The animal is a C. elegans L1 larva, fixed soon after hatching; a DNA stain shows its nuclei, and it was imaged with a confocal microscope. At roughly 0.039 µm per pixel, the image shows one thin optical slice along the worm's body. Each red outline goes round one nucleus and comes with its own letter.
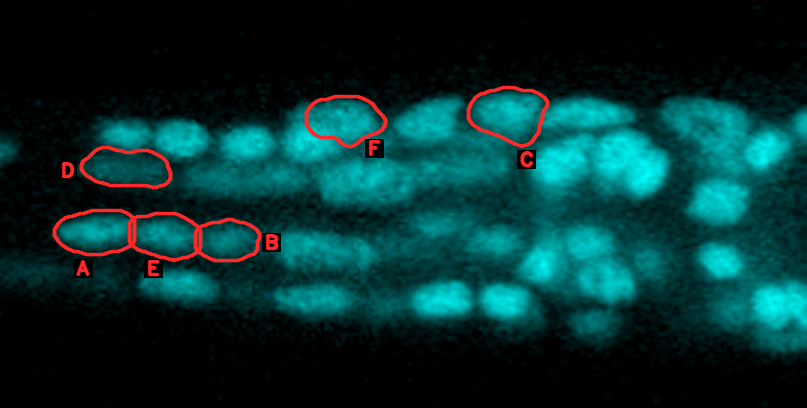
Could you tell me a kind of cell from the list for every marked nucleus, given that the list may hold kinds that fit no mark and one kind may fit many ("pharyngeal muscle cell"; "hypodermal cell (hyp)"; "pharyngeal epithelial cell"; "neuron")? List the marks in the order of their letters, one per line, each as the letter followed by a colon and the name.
A: pharyngeal epithelial cell
B: pharyngeal muscle cell
C: hypodermal cell (hyp)
D: pharyngeal epithelial cell
E: pharyngeal muscle cell
F: hypodermal cell (hyp)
